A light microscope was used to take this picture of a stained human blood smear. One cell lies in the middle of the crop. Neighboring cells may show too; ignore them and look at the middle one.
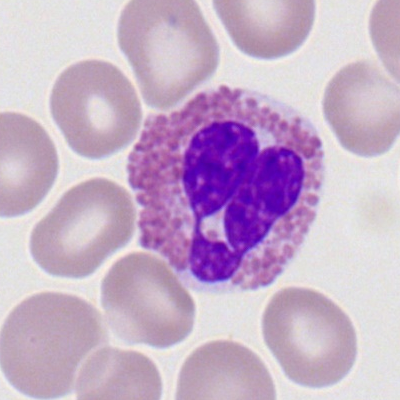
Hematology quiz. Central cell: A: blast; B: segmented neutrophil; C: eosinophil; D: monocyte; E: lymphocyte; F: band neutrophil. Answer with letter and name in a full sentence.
The middle of the crop contains an eosinophil, so option C is right.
